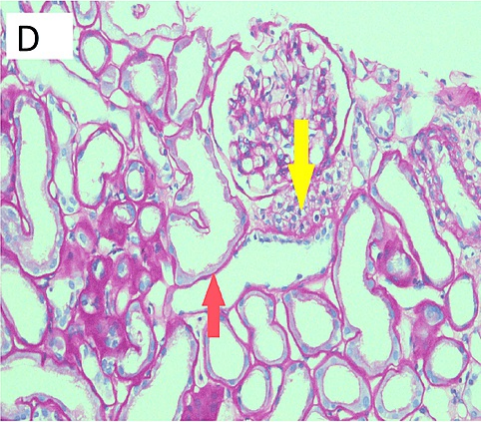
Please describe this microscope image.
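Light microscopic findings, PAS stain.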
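Kidney cortex with a glomerulus and surrounding tubules, basement membranes outlined in magenta. The glomerular tuft shows magenta-outlined capillary loops within Bowman's space. Many tubules nearby have thin, flattened linings and wide lumina, and some show sparse nuclei. Darker magenta, more solid-looking tubular profiles lie at the lower left.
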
